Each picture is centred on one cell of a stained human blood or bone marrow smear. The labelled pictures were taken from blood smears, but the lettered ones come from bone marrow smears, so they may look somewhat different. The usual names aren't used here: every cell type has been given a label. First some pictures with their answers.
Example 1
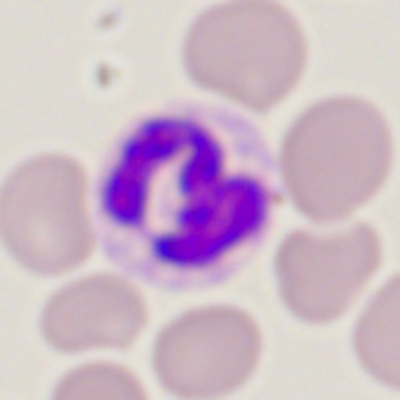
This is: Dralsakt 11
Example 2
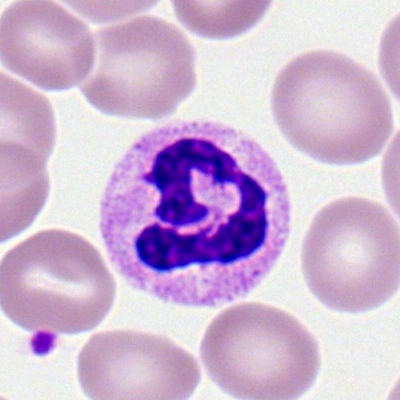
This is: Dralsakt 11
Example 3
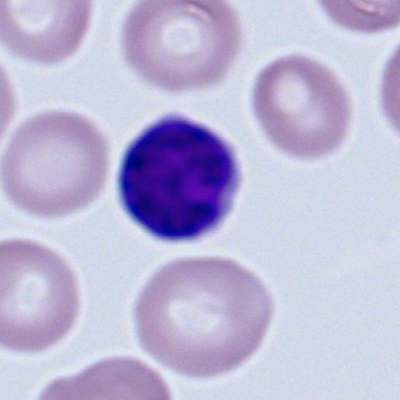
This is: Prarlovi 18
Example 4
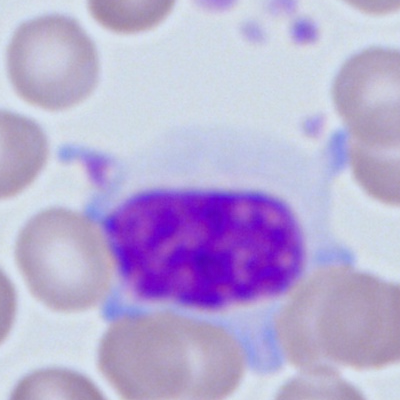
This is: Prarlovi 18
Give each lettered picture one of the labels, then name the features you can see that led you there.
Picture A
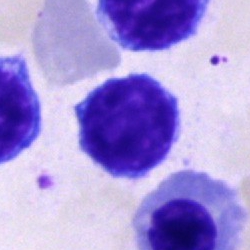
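Prarlovi 18. Reason: Cytoplasm is very scant, seen only as a thin rim at the edge.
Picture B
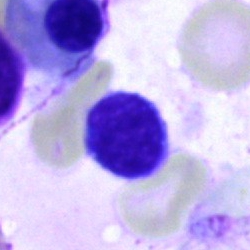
Prarlovi 18. Reason: The nucleus fills almost the whole cell, leaving at most a very thin rim of cytoplasm.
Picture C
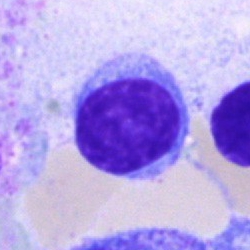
Prarlovi 18. Reason: The nucleus fills most of the cell.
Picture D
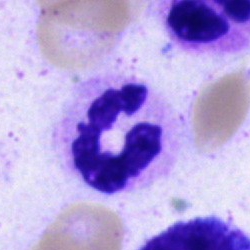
Dralsakt 11. Reason: The nucleus is a single thick curved band shaped like a letter C.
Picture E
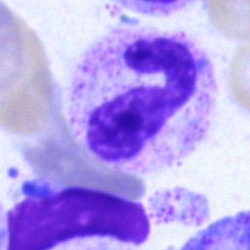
Dralsakt 11. Reason: The cytoplasm is abundant and pale pinkish-lilac.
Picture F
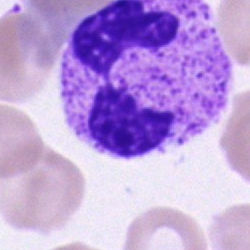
Dralsakt 11. Reason: The cytoplasm is plentiful and pale pinkish-lilac.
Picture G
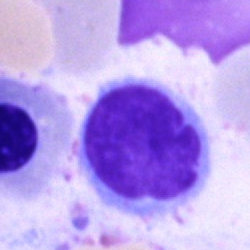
Prarlovi 18. Reason: The cytoplasm forms only a thin rim around the nucleus.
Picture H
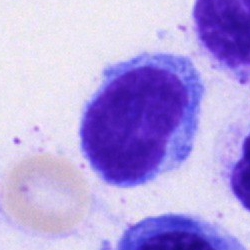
Prarlovi 18. Reason: The nucleus fills most of the cell and lies toward its left side.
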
